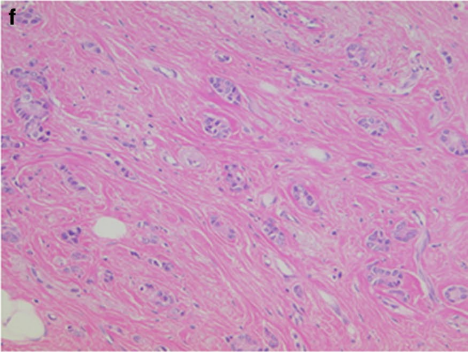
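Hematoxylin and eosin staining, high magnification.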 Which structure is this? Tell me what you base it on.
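Small clusters of a few epithelial cells lie scattered in dense pink fibrous stroma. Some clusters form tiny gland-like groups. So: small invasive nests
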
